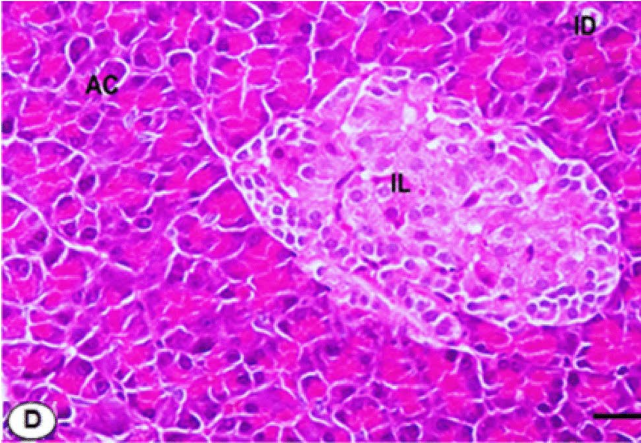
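This is pancreatic tissue with a large islet of Langerhans lying among exocrine acini. The islet is oval, pale-staining and well outlined, made of many endocrine cells with round nuclei and pale pink cytoplasm arranged in cords. Surrounding it, the acinar cells have strongly pink to red cytoplasm with dark purple nuclei and are grouped into tightly packed acini separated by thin clear spaces. The arrangement of both islet and acini looks orderly, and no congested blood vessels or inflammatory cell collections are seen in the field.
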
